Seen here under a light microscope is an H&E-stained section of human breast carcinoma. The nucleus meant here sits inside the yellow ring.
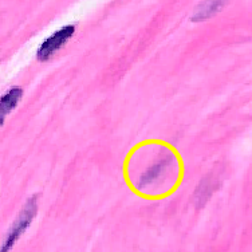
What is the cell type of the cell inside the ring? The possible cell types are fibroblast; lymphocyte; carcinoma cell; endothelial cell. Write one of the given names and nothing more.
fibroblast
